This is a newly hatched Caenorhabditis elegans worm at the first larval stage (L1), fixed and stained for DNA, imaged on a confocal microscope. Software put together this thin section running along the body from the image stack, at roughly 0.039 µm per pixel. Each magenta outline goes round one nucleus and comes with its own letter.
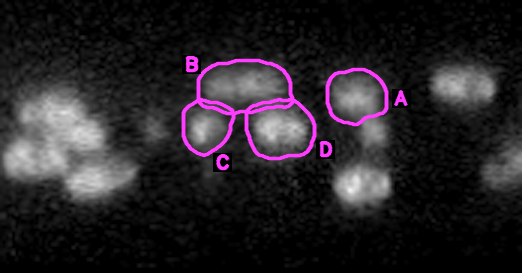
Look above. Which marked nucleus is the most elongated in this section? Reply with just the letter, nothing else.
B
